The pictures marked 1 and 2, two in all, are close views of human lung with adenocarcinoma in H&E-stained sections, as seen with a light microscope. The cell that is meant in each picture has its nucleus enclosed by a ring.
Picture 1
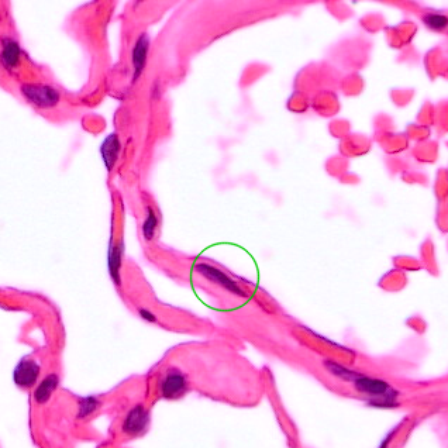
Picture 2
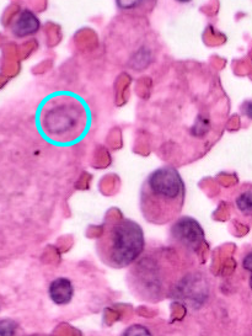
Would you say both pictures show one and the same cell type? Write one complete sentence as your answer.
No, they differ: the cell is an endothelial cell in picture 1 and a “macrophage or monocyte” in picture 2.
